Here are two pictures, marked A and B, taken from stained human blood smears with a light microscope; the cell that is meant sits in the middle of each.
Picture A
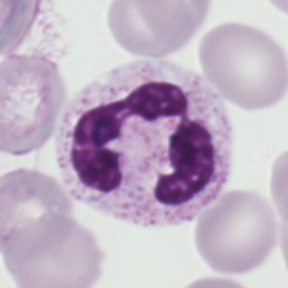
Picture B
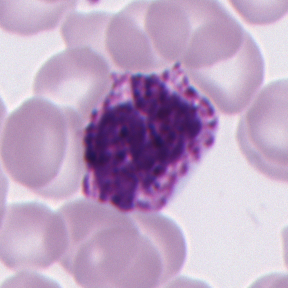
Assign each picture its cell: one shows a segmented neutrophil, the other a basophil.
A: segmented neutrophil
B: basophil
